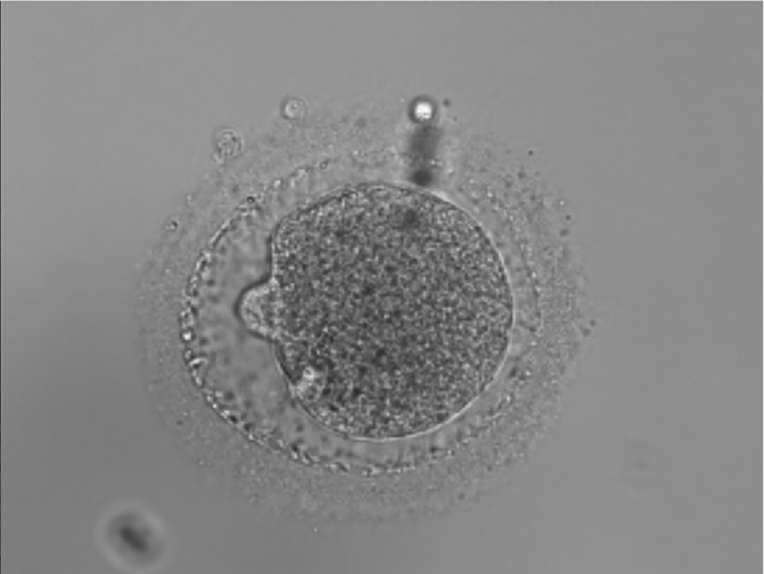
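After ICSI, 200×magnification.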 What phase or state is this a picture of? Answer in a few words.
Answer: Degenerated oocyte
